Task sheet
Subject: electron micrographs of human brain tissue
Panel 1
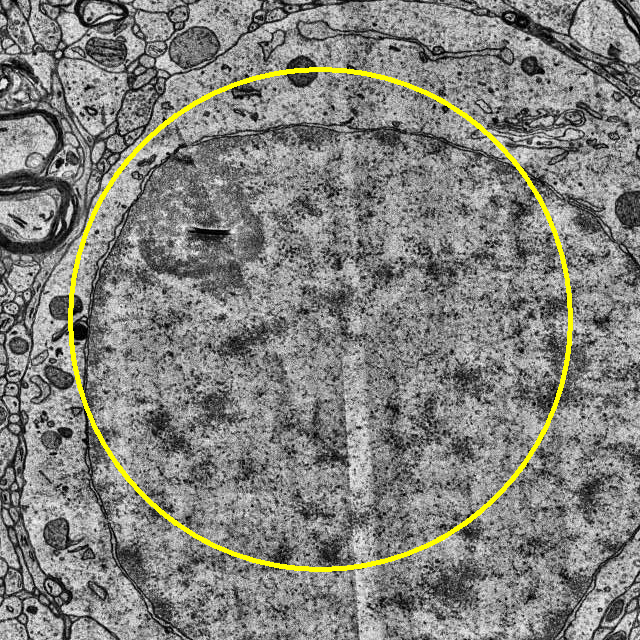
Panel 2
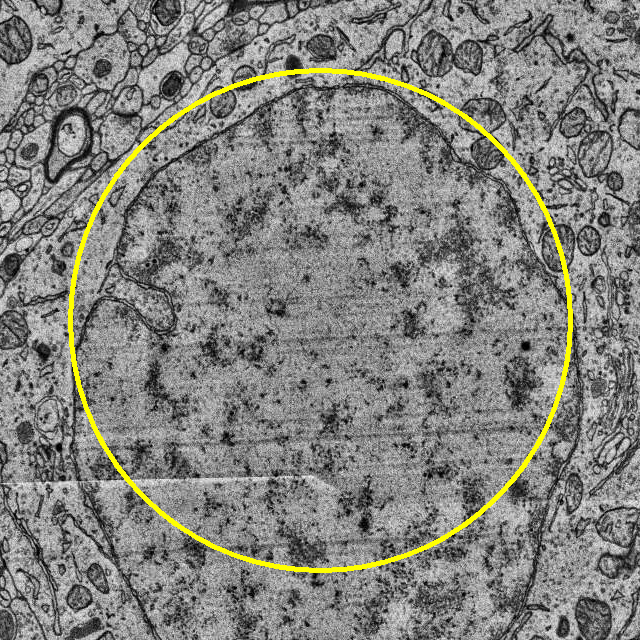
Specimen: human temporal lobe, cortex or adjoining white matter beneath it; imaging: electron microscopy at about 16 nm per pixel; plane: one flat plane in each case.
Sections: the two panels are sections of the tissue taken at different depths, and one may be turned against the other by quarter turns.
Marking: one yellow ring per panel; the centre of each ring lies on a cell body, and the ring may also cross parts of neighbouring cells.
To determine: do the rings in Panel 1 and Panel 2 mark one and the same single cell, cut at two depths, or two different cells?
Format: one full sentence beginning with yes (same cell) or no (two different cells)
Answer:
No, the two rings are drawn around two distinct cells.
